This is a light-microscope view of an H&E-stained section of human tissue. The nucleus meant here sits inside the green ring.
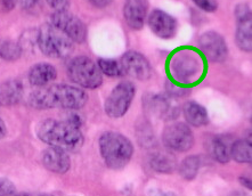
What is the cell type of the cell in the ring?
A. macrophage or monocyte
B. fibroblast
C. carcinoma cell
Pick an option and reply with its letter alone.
C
